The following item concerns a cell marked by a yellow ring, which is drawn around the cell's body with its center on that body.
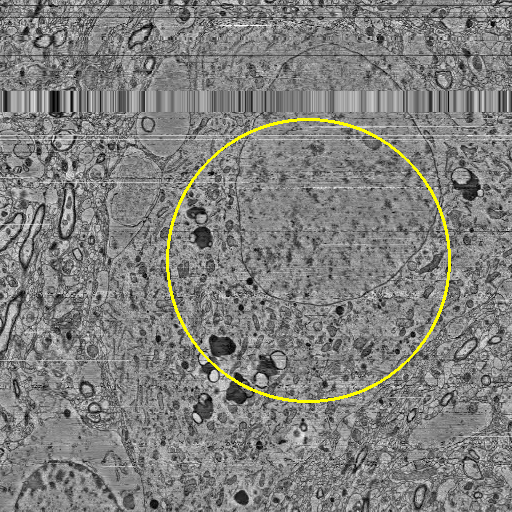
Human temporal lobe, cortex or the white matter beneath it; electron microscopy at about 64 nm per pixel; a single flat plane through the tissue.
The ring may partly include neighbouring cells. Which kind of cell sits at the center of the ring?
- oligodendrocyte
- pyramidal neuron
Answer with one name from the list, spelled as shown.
pyramidal neuron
